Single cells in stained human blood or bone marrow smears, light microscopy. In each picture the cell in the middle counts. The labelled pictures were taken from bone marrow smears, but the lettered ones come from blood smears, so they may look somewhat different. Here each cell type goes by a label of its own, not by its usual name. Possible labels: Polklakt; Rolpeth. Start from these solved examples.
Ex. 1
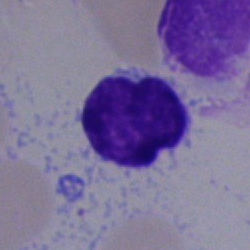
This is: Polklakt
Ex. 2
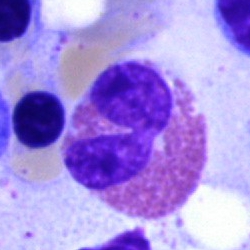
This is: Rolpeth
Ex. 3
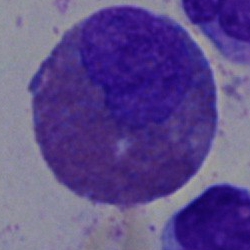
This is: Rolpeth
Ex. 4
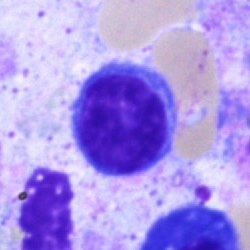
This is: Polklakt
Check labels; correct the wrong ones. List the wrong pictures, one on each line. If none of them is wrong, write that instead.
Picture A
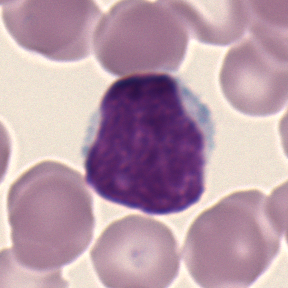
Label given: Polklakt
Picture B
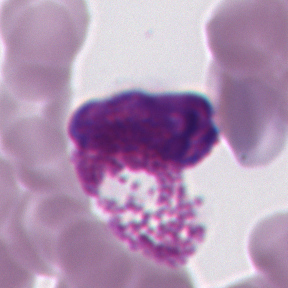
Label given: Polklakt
B: change Polklakt to Rolpeth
